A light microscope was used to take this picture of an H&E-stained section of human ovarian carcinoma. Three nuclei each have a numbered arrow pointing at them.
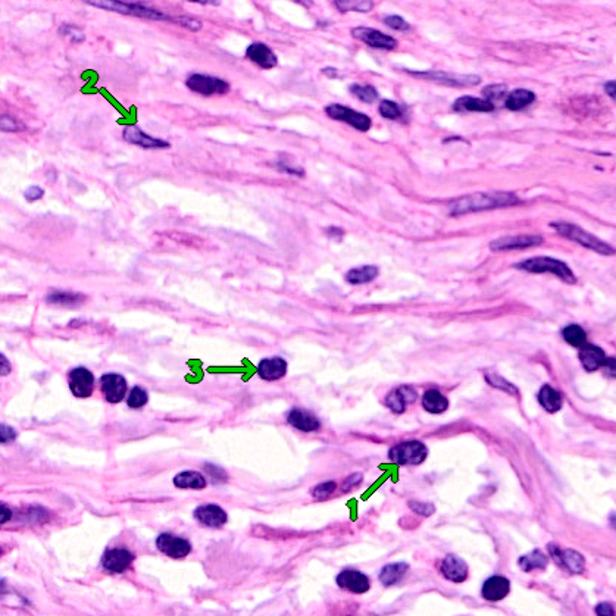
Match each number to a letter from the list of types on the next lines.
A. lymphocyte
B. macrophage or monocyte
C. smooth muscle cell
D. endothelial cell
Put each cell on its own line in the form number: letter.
1: A
2: B
3: A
